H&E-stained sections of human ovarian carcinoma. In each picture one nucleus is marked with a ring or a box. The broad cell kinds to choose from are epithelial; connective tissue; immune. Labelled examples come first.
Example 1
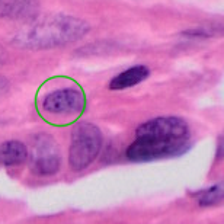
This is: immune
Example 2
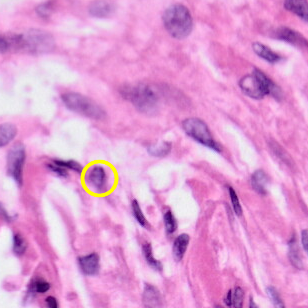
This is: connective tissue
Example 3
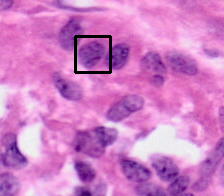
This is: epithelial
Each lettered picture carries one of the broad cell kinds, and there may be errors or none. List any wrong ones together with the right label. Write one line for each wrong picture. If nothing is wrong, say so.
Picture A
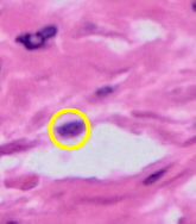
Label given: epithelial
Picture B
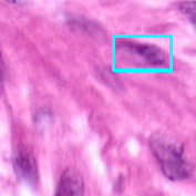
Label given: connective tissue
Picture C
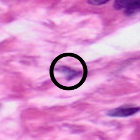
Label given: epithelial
A: not epithelial but connective tissue
C: not epithelial but connective tissue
